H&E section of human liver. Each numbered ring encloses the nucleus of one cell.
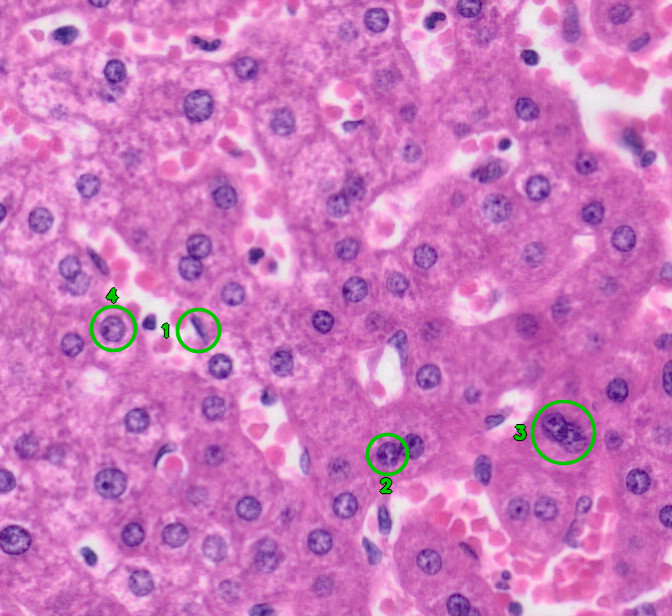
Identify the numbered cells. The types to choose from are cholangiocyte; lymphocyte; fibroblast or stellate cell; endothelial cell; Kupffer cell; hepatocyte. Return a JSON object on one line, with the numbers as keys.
{"1": "endothelial cell", "2": "hepatocyte", "3": "hepatocyte", "4": "hepatocyte"}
